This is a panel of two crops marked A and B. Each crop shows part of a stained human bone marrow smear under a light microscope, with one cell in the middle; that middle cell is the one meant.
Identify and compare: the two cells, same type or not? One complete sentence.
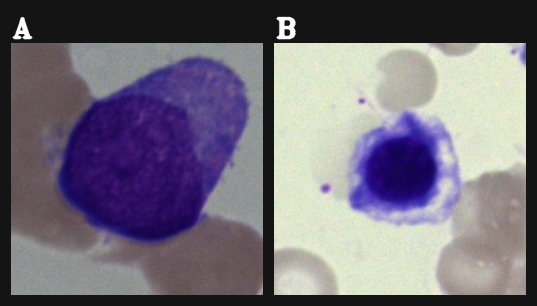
No, on this set crop A shows a blast and crop B shows a normoblast.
